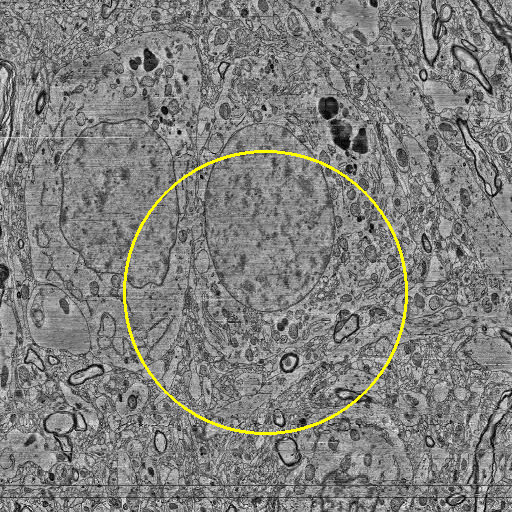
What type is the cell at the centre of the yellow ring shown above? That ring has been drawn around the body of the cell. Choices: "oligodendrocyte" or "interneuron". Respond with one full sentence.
My answer is that an interneuron lies at the centre of the yellow ring above.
